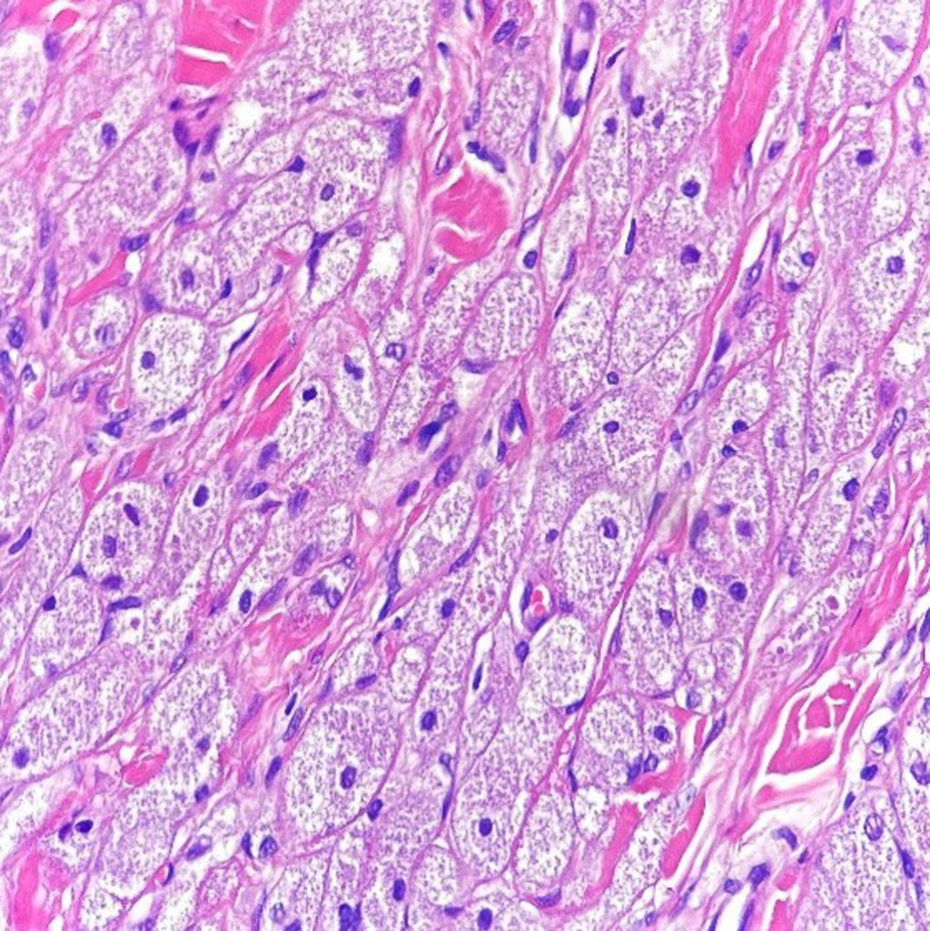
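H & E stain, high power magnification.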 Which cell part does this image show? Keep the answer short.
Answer: abundant eosinophilic granular cytoplasm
